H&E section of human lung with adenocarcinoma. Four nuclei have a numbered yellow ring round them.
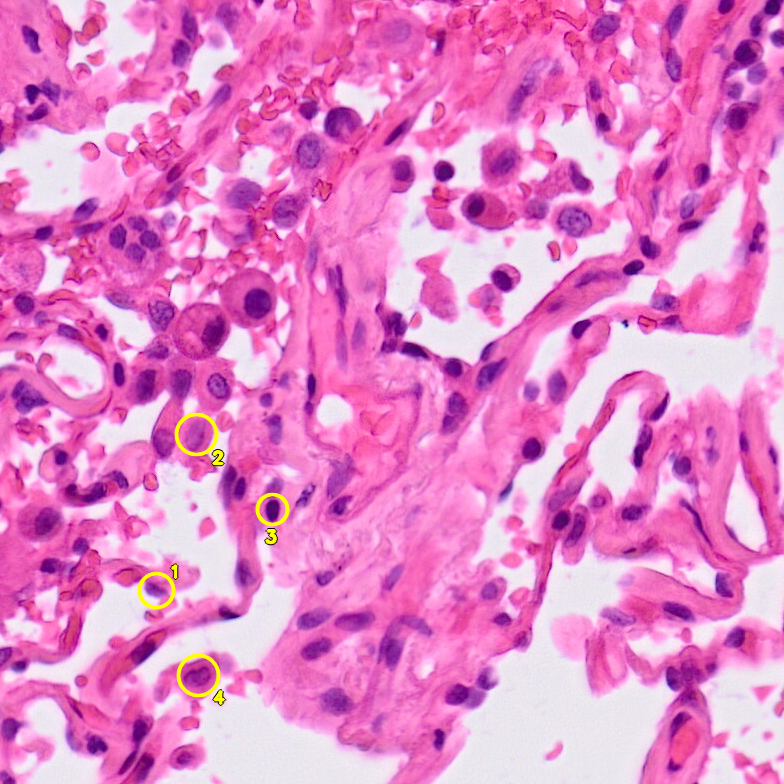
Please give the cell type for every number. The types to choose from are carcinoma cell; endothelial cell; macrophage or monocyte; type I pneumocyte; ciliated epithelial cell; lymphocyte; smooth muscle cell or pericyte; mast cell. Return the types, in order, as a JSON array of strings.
["type I pneumocyte", "macrophage or monocyte", "lymphocyte", "macrophage or monocyte"]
